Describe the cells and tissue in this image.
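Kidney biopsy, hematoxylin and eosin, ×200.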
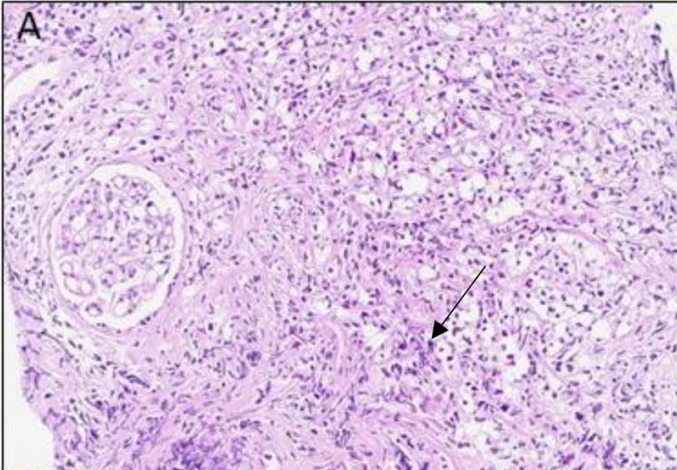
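Renal tissue in which a dense infiltrate of lymphoid cells replaces most of the normal parenchyma. At the left a glomerulus with a delicate capillary tuft sits inside its capsule and looks unaltered. Around it, tubules are few, and the space is filled by crowded cells with dark, round to irregular nuclei of small and larger sizes. Many cells have pale or clear cytoplasm, giving a vacuolated look to parts of the field. Thin strands of pink fibrous stroma run between the cell groups.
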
